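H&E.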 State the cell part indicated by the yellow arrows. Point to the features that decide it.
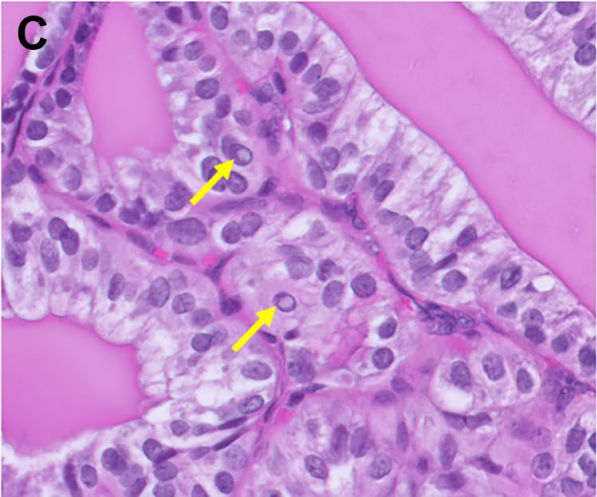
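The arrows point to round, pale areas inside nuclei. Each pale area is sharply outlined by a dark rim within the nucleus.
Pseudoinclusions.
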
